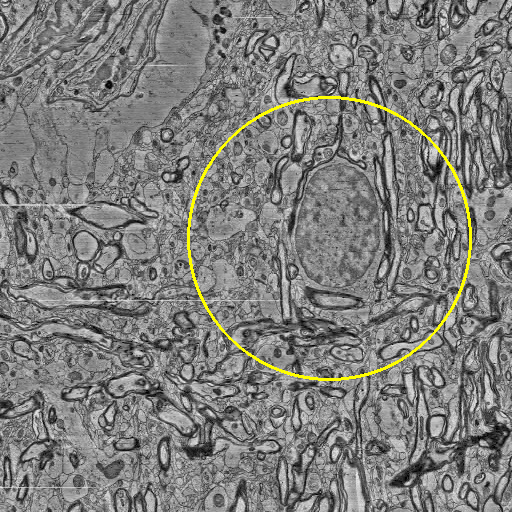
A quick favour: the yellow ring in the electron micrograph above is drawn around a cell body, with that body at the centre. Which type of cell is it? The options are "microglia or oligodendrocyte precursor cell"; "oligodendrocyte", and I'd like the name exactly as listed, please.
oligodendrocyte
